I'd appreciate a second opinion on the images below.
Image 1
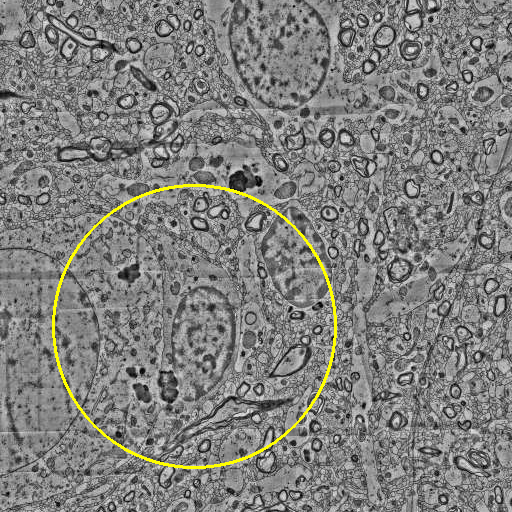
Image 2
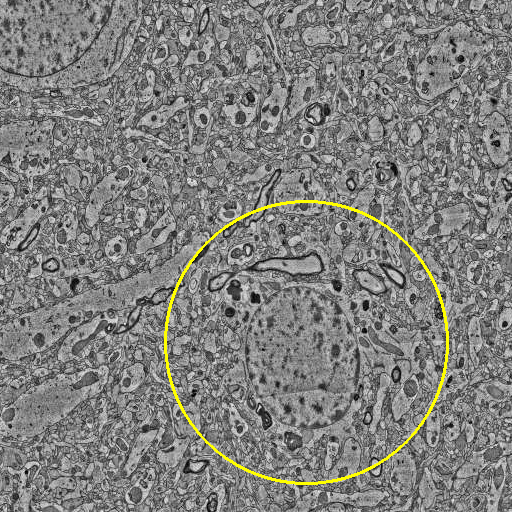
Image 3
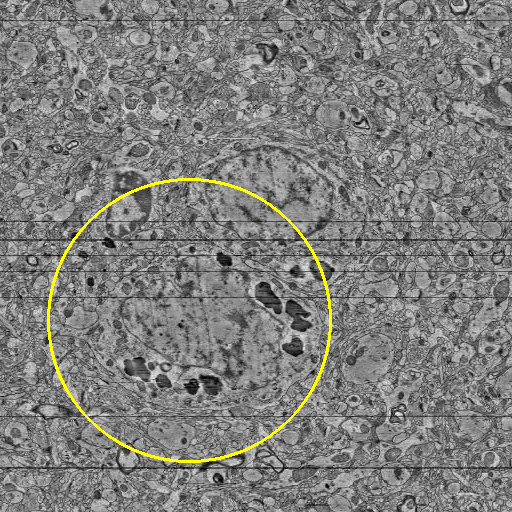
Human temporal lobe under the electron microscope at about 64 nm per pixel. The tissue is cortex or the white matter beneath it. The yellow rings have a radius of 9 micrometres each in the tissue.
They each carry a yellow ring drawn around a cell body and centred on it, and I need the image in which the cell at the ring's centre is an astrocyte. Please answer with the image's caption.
Image 2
